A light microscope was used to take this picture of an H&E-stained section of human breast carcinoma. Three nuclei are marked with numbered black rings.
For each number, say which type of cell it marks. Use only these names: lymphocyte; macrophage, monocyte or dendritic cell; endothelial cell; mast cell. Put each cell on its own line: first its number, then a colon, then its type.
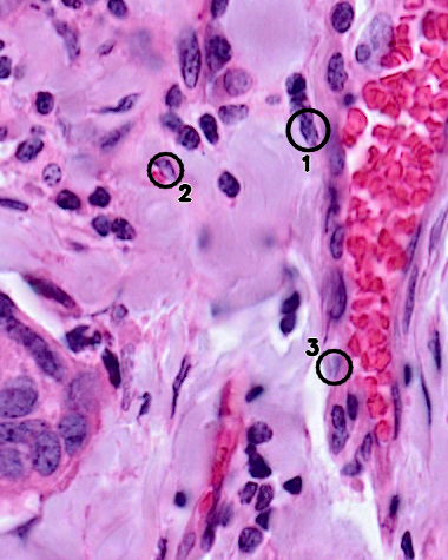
1: lymphocyte
2: endothelial cell
3: endothelial cell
